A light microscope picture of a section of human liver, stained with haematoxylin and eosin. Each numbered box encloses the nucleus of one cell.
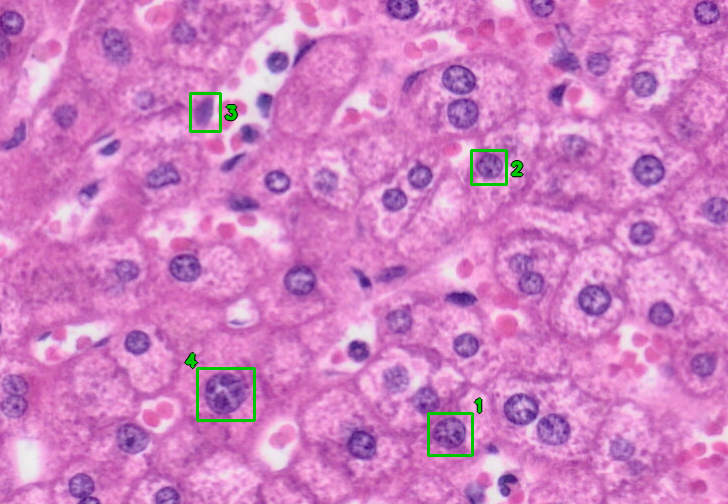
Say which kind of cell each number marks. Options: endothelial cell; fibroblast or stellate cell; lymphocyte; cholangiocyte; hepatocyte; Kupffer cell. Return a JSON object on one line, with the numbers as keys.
{"1": "hepatocyte", "2": "hepatocyte", "3": "endothelial cell", "4": "hepatocyte"}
